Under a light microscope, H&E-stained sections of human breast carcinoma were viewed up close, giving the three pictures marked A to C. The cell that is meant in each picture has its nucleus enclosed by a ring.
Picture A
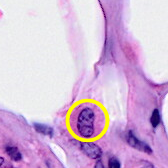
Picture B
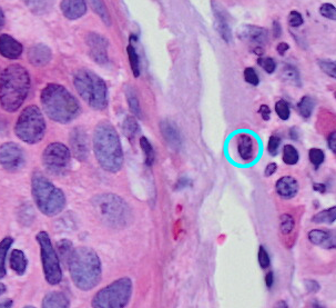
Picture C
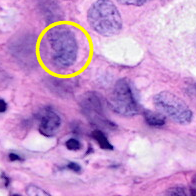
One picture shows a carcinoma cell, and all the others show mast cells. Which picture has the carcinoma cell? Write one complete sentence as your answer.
The carcinoma cell is the one in picture C.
